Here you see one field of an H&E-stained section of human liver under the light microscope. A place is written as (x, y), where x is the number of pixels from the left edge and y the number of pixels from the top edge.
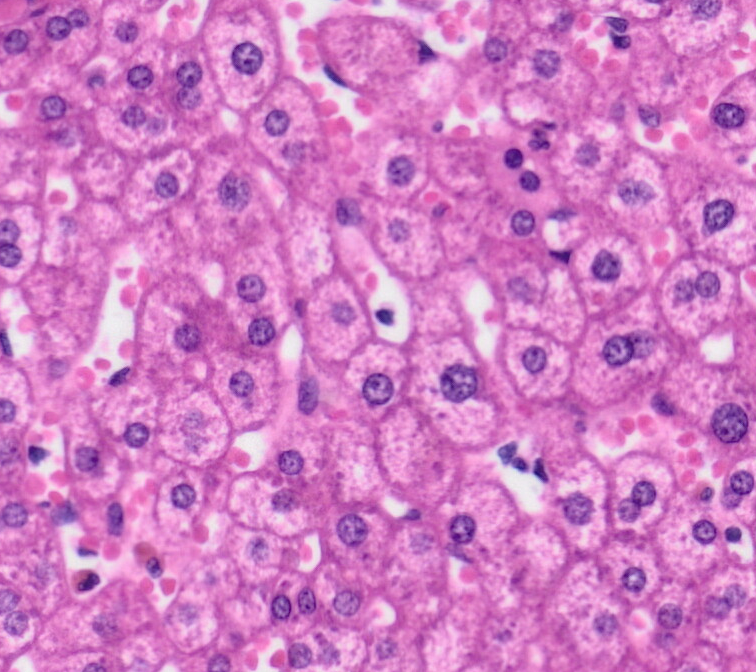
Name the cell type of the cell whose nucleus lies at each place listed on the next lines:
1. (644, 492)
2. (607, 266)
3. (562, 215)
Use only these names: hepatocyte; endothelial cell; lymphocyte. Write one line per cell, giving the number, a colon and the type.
1: hepatocyte
2: hepatocyte
3: endothelial cell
